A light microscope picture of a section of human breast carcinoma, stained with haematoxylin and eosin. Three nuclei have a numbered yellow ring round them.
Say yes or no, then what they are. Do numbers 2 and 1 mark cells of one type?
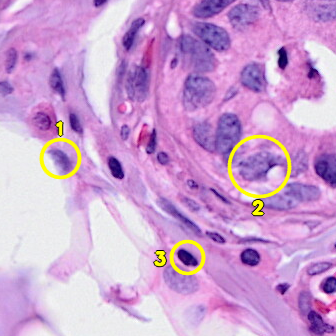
No, the cell labelled 2 is a carcinoma cell; the cell labelled 1 is a fibroblast.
